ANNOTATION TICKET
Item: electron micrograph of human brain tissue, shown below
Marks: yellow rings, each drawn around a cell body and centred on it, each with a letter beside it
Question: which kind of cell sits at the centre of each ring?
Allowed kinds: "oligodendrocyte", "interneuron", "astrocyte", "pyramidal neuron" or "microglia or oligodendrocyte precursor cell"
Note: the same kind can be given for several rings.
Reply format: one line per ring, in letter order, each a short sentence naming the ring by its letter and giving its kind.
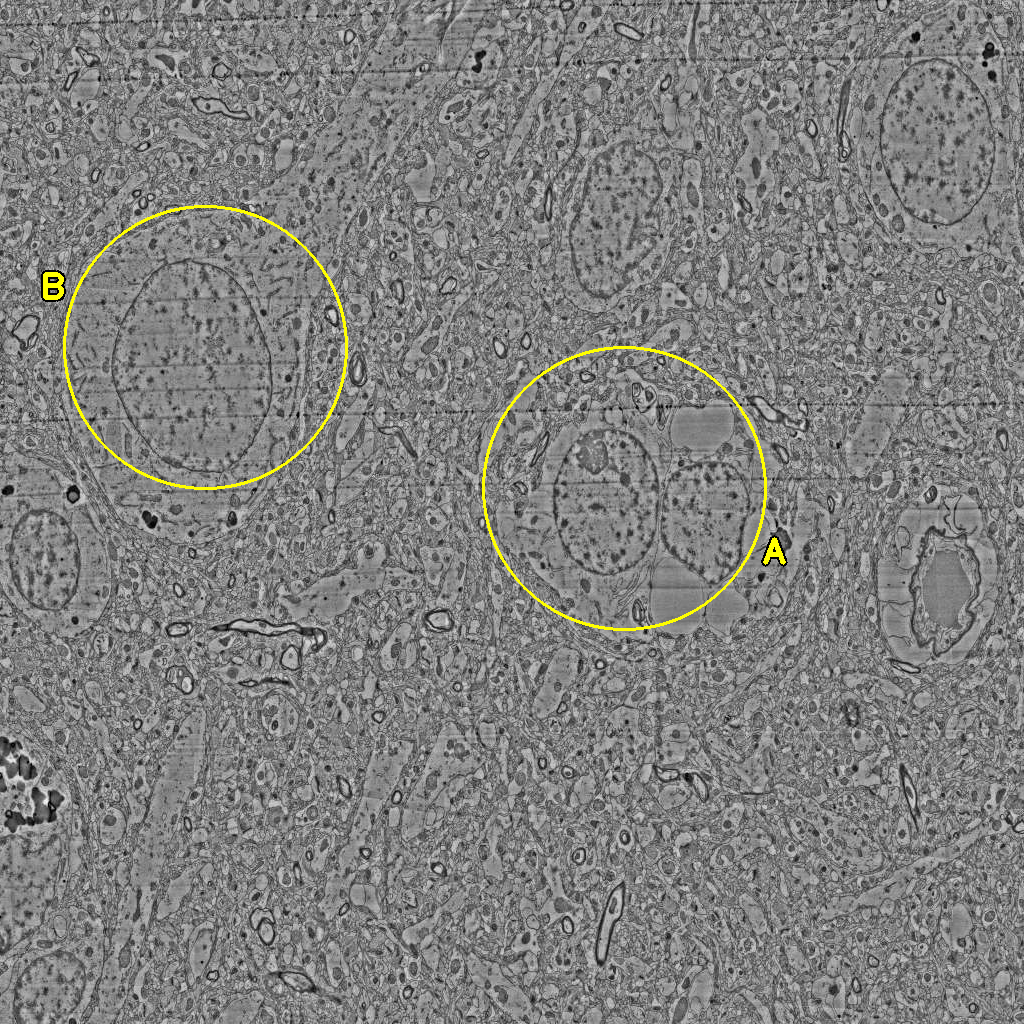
The cell at the centre of ring A is an astrocyte.
The cell at the centre of ring B is a pyramidal neuron.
